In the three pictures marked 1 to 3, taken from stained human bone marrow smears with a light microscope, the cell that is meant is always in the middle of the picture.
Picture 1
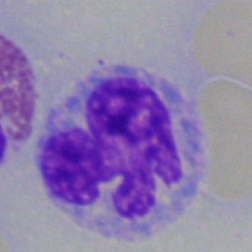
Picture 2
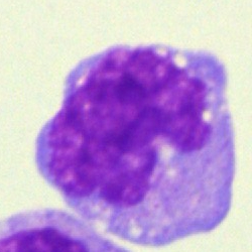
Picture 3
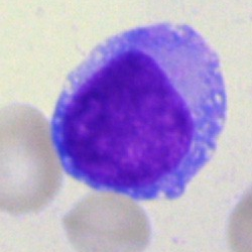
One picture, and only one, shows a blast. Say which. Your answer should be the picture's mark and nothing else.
3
